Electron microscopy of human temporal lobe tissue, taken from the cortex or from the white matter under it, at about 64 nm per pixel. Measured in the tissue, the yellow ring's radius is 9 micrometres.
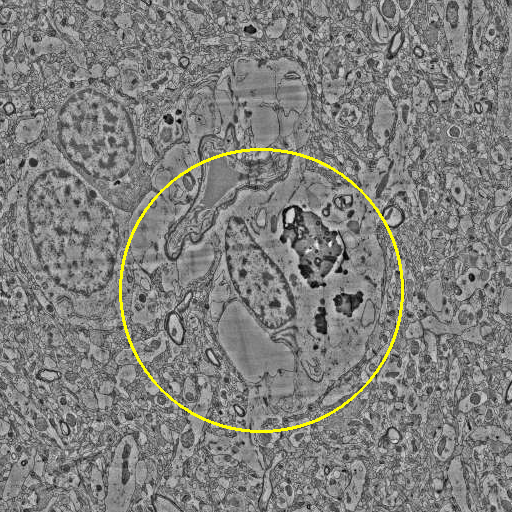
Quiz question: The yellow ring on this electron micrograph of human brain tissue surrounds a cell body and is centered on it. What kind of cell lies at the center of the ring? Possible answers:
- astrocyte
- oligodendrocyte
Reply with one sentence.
The ring's center lies on an astrocyte.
